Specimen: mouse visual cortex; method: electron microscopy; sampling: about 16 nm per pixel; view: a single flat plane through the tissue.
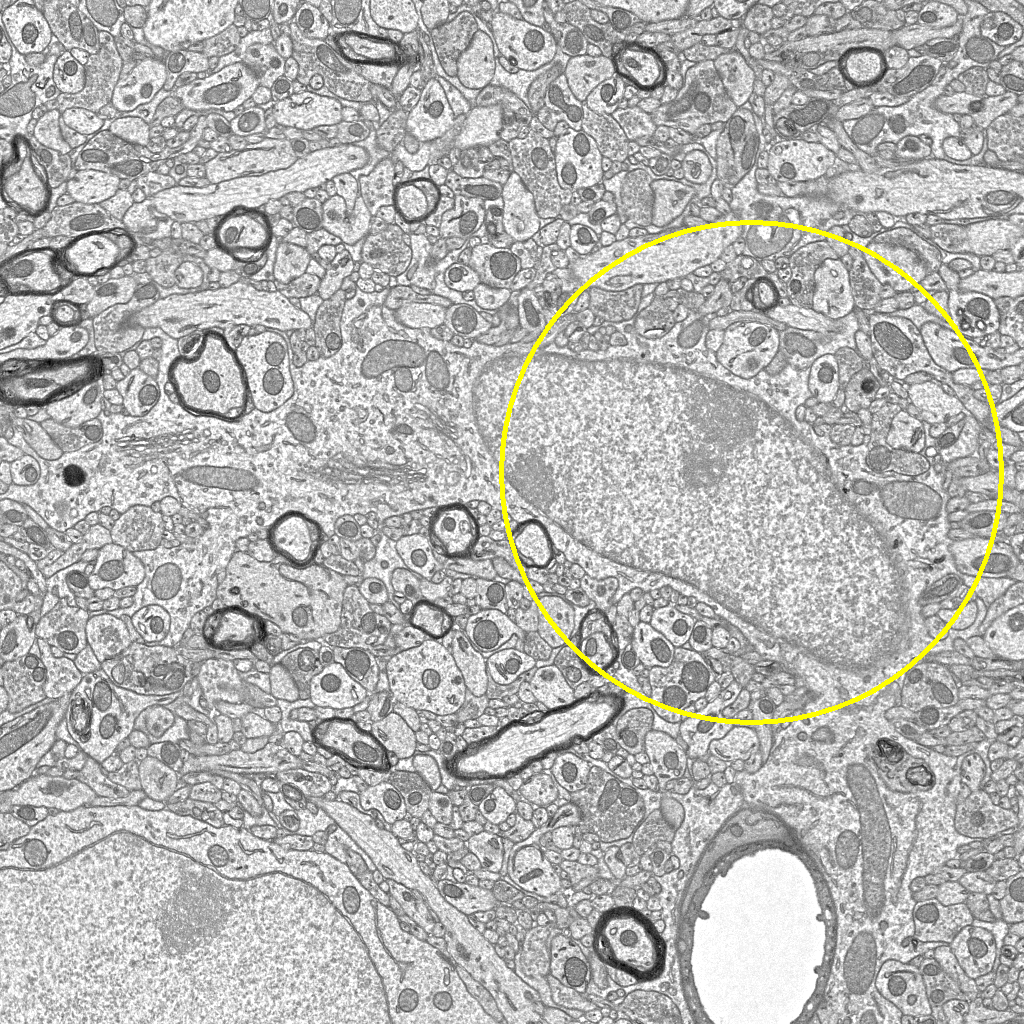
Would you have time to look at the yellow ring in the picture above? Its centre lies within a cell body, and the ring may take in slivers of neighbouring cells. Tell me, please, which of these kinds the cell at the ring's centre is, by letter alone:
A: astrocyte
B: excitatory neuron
A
